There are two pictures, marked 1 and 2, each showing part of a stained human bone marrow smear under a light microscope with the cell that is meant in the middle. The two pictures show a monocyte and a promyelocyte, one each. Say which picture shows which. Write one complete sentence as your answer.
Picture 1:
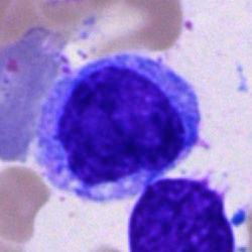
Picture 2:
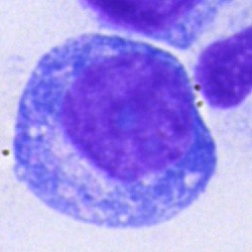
It is picture 1 that shows a monocyte, and picture 2 that shows a promyelocyte.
